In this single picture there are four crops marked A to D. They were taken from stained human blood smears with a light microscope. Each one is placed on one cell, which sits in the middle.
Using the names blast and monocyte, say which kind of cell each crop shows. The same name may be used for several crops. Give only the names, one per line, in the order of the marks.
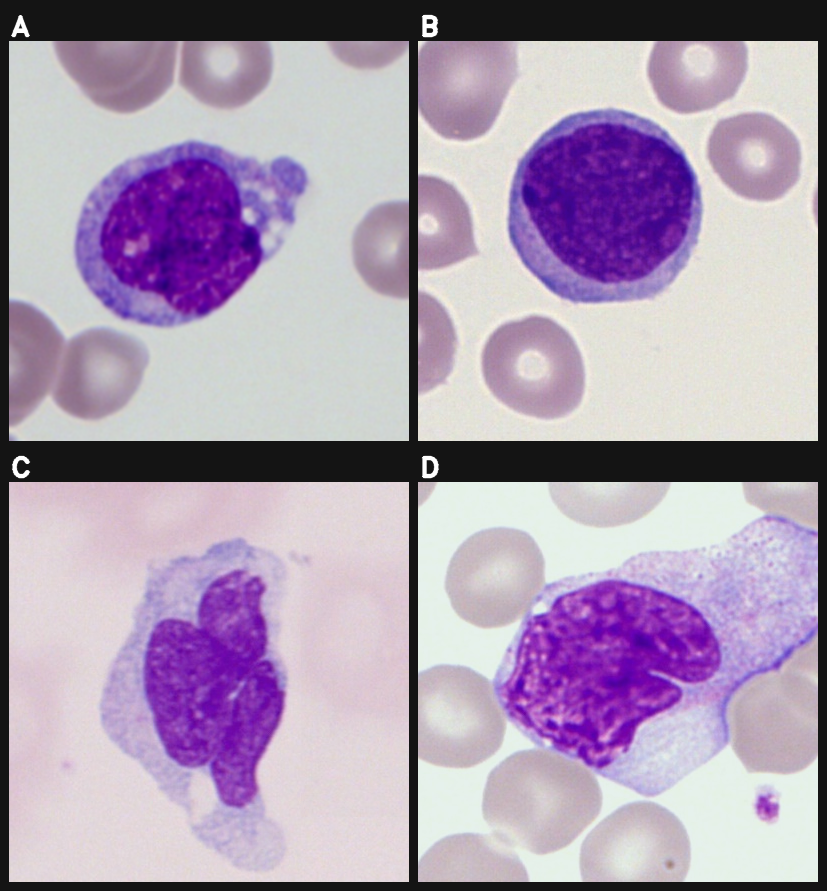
monocyte
blast
monocyte
monocyte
